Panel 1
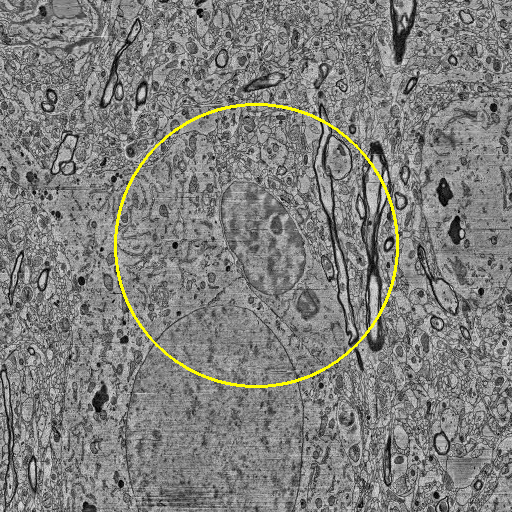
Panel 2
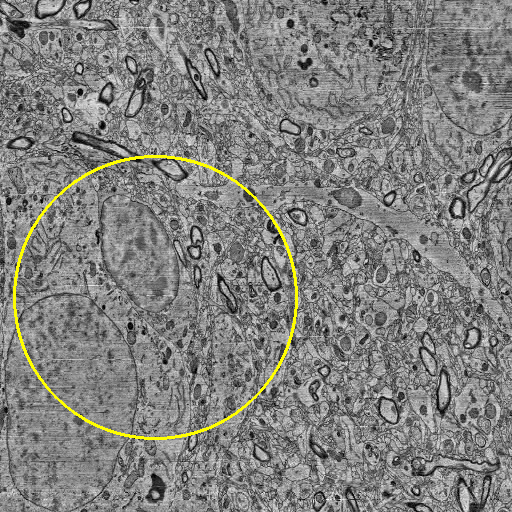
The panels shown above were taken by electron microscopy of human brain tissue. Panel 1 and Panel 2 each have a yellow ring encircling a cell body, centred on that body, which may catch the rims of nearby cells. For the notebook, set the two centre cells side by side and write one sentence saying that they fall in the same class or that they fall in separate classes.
The centred cells of Panel 1 and Panel 2 fall in the same class.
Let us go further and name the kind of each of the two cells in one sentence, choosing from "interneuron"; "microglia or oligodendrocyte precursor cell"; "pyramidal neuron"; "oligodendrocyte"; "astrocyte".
Each of the two pictures has an oligodendrocyte at the ring centre.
